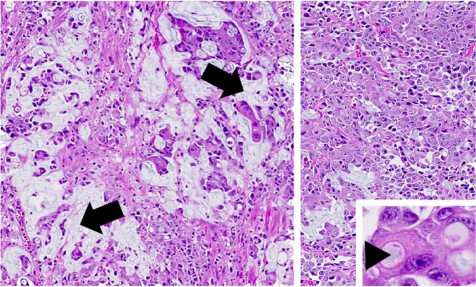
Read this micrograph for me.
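This tumor shows small clusters and loose sheets of epithelial cells set in wide lakes of pale grey-blue amorphous material. Between the lakes, pink fibrous stroma carries scattered tumor cells. Some cells hold a rounded clear vacuole in the cytoplasm that pushes the nucleus aside. The pale lakes are extracellular mucin and the vacuolated cells are accumulating mucin within them. Together these features fit a mucinous adenocarcinoma.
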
